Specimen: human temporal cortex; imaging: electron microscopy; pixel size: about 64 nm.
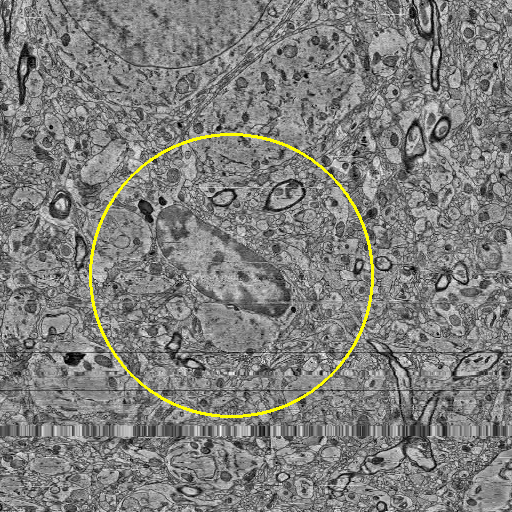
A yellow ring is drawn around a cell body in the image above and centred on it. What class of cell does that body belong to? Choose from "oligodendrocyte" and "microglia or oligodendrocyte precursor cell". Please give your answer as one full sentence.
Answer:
The yellow ring above is centred on the cell body of a microglial cell or oligodendrocyte precursor cell.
